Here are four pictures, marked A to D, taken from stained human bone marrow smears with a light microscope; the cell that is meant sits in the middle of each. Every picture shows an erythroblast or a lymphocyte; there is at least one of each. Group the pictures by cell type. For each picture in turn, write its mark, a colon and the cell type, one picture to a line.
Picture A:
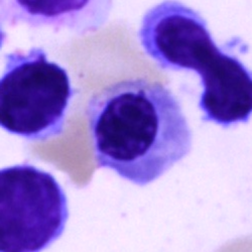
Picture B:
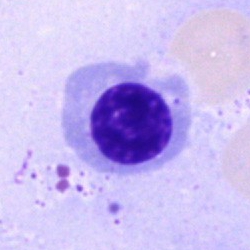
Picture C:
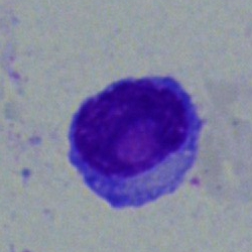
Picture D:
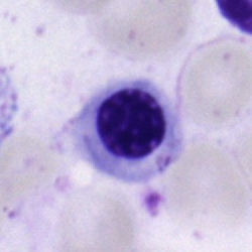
A: erythroblast
B: erythroblast
C: lymphocyte
D: erythroblast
